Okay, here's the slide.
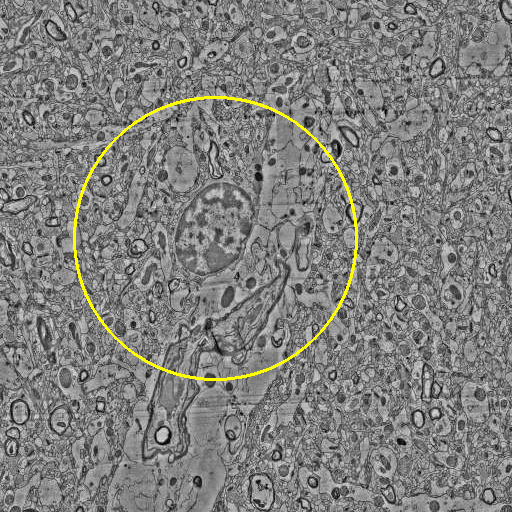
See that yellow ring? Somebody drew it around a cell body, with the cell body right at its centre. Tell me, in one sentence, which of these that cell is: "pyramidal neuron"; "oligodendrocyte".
The cell in the middle of the ring is an oligodendrocyte.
